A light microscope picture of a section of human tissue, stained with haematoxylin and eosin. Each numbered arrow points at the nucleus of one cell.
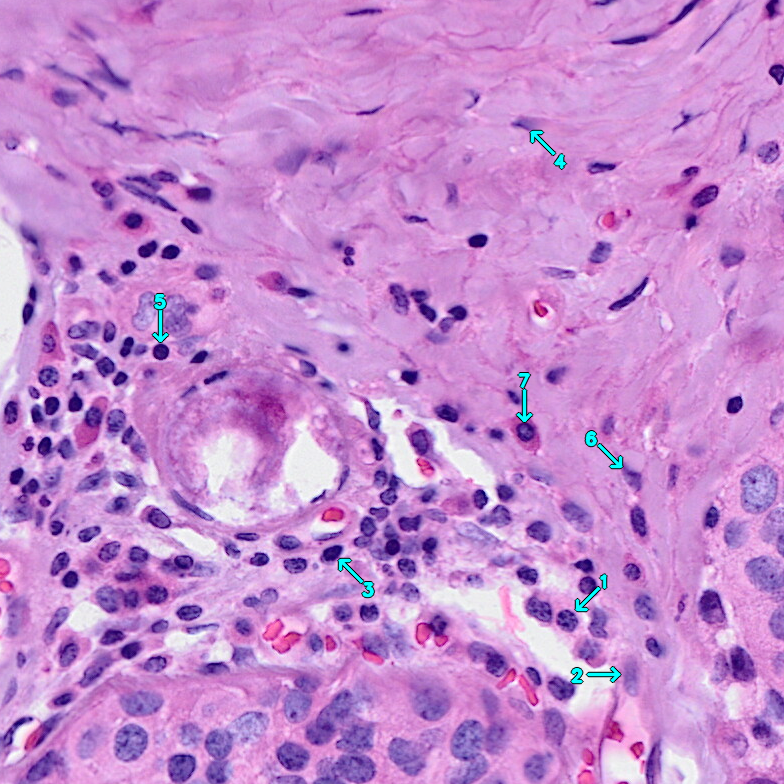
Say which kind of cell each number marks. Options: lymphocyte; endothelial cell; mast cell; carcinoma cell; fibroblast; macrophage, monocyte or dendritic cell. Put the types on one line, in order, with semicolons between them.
mast cell; endothelial cell; lymphocyte; fibroblast; lymphocyte; fibroblast; mast cell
